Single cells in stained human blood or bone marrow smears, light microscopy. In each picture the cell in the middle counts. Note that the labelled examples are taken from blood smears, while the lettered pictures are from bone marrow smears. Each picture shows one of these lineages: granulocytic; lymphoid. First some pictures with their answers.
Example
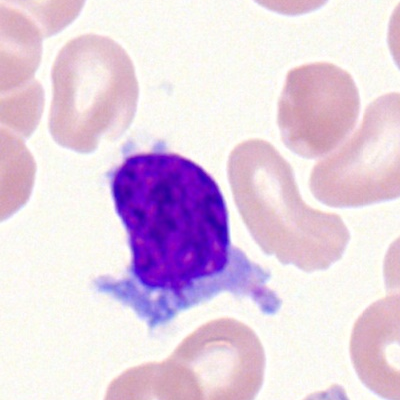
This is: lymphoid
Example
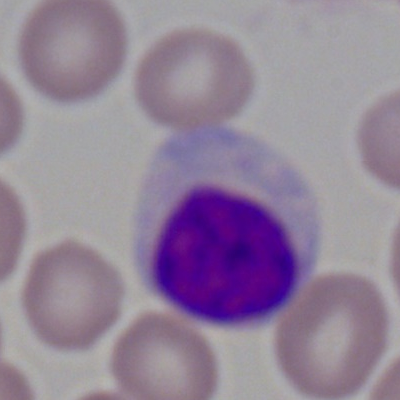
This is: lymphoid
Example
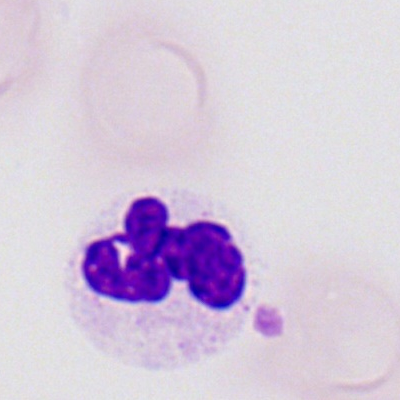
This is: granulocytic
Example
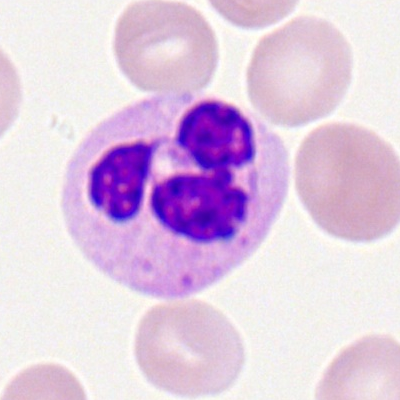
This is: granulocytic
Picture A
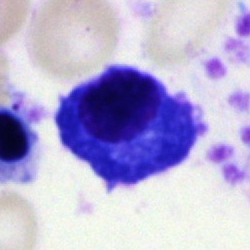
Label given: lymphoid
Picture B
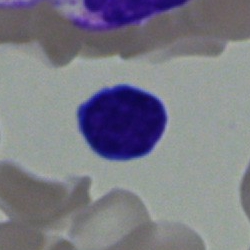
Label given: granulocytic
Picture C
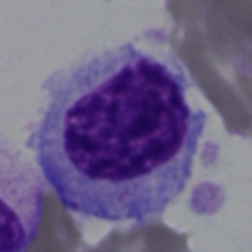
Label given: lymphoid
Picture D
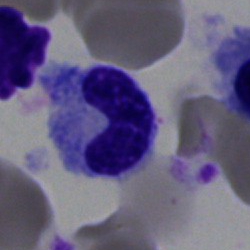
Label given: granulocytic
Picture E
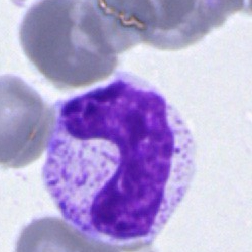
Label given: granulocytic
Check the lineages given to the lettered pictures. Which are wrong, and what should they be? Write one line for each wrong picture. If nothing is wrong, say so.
B: change granulocytic to lymphoid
